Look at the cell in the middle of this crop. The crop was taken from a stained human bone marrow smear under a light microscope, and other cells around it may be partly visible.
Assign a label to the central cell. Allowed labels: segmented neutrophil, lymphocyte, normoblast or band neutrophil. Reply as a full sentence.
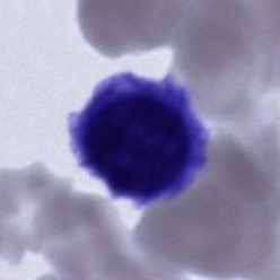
On this slide crop, the central cell is a normoblast.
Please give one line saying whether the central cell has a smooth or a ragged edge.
A smooth outline is absent here, replaced by ragged stretches or projections.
